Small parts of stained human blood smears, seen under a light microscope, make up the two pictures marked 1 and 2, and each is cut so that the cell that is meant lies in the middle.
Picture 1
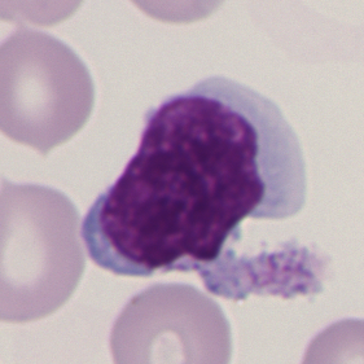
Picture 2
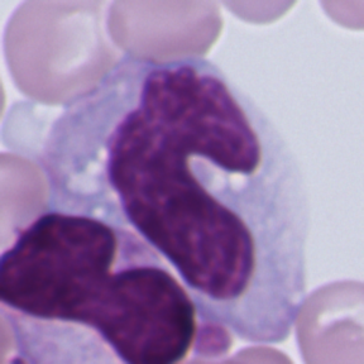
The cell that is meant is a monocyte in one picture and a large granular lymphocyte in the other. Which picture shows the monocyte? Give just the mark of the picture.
2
